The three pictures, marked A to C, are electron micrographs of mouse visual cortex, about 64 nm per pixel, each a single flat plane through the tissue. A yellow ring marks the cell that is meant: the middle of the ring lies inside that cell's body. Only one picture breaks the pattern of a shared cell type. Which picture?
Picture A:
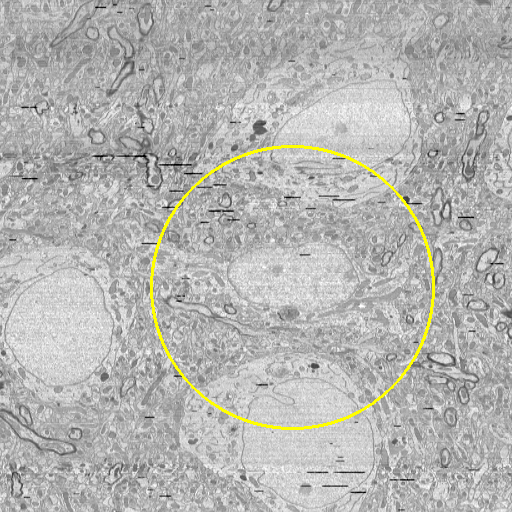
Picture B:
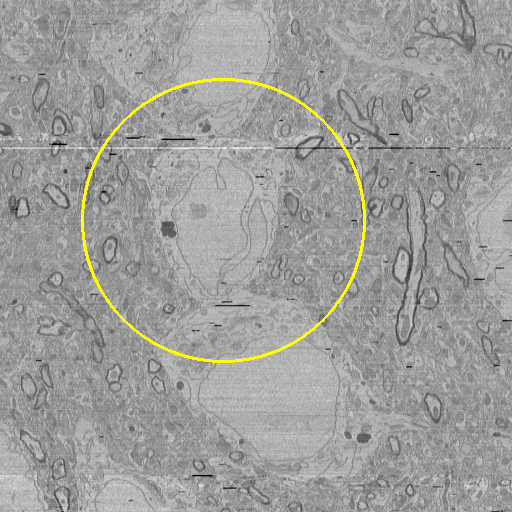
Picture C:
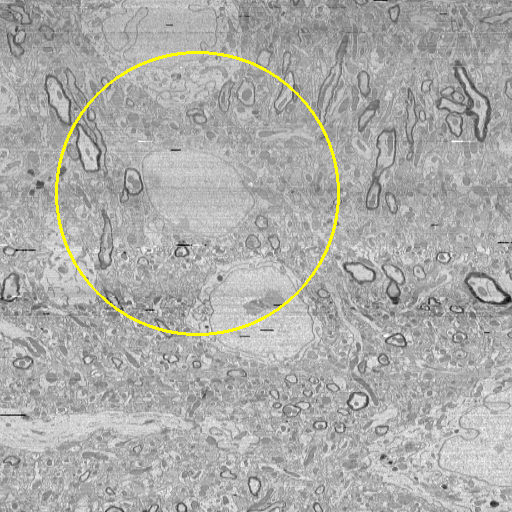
Unlike the rest, which show astrocytes, picture B shows an excitatory neuron.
